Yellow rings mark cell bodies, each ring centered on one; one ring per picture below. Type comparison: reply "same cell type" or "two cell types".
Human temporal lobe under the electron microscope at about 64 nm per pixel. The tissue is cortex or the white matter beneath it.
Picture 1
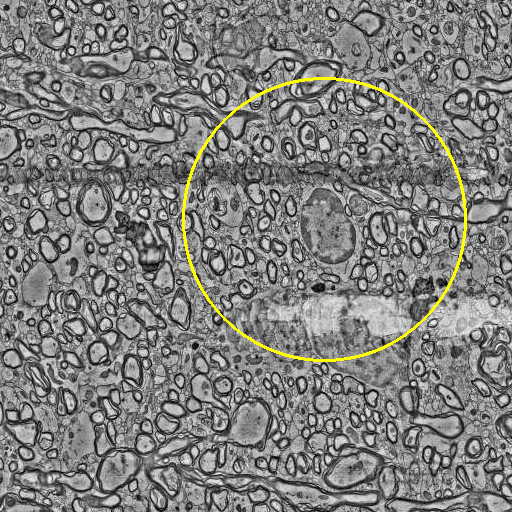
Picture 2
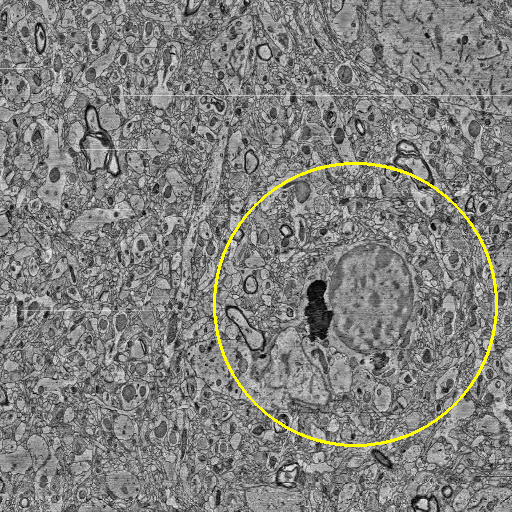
two cell types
